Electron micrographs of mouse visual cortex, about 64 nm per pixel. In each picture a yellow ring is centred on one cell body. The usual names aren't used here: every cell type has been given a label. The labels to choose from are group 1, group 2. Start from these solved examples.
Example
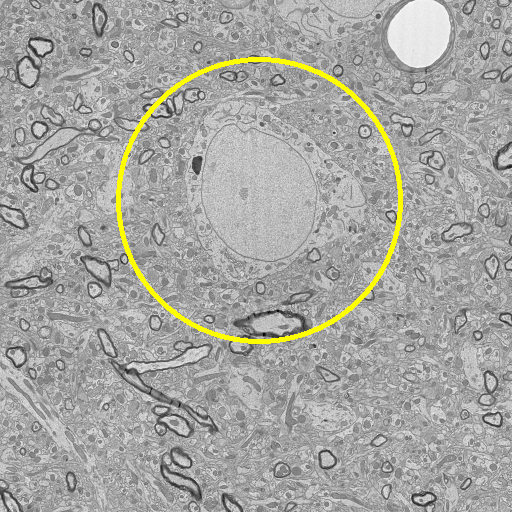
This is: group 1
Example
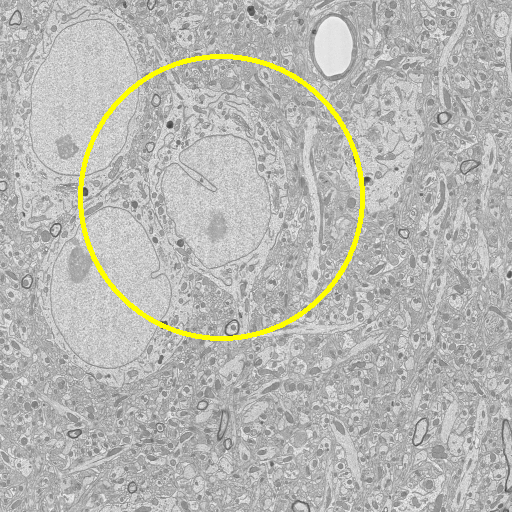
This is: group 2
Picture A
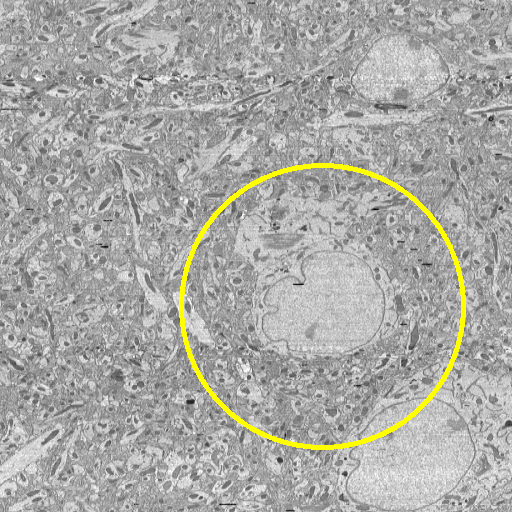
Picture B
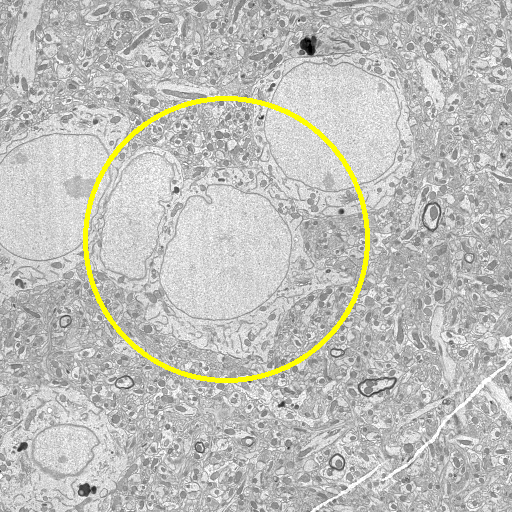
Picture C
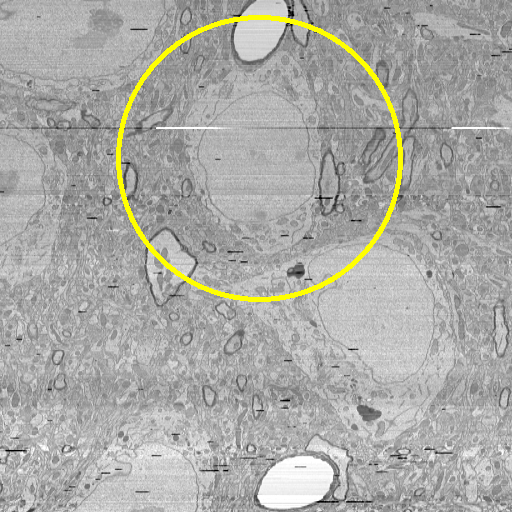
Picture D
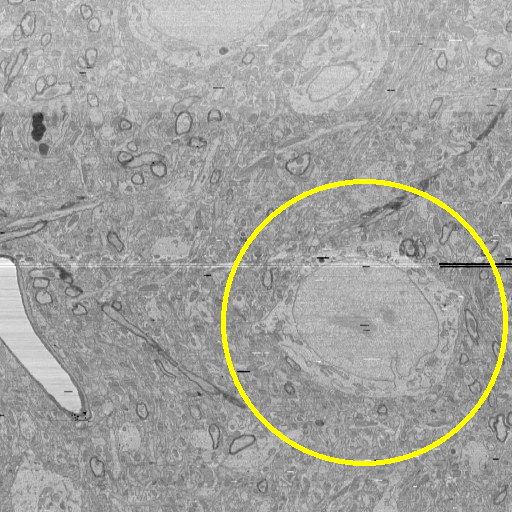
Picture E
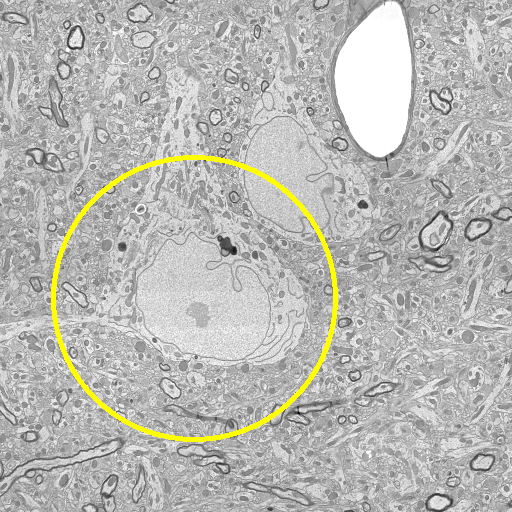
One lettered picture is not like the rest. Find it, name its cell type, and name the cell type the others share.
Odd one out: D (group 2). The rest: group 1.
